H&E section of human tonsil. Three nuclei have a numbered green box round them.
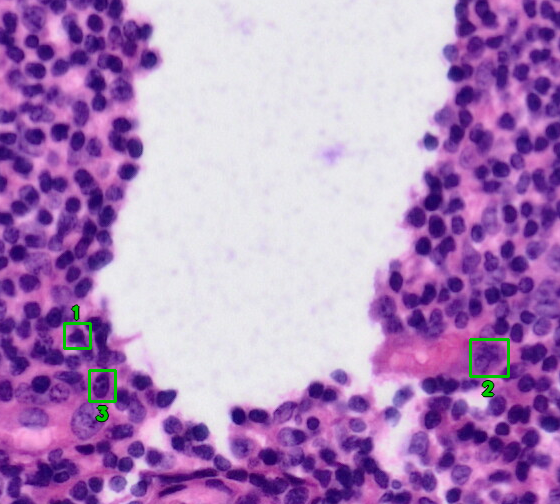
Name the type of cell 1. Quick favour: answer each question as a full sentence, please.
The cell referred to as 1 is a small lymphocyte.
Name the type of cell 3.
The cell pointed out as number 3 is a plasma cell.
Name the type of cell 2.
Cell 2, among those numbered, is an endothelial cell.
